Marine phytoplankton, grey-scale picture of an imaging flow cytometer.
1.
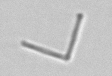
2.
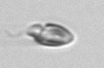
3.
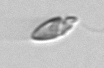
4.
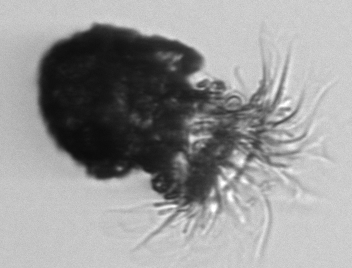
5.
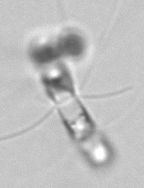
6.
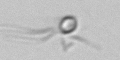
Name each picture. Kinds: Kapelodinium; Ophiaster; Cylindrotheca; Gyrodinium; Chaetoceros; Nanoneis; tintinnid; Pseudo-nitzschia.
(1) Nanoneis
(2) Kapelodinium
(3) Kapelodinium
(4) tintinnid
(5) Chaetoceros
(6) Ophiaster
